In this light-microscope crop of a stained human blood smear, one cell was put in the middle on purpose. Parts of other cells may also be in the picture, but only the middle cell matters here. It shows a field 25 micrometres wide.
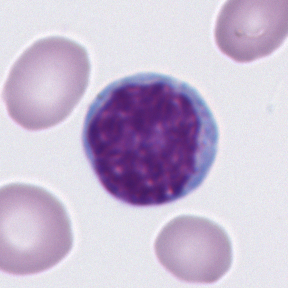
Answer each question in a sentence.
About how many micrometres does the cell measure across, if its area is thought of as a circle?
Taken as a circle, the cell has a diameter of about 12 micrometres.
